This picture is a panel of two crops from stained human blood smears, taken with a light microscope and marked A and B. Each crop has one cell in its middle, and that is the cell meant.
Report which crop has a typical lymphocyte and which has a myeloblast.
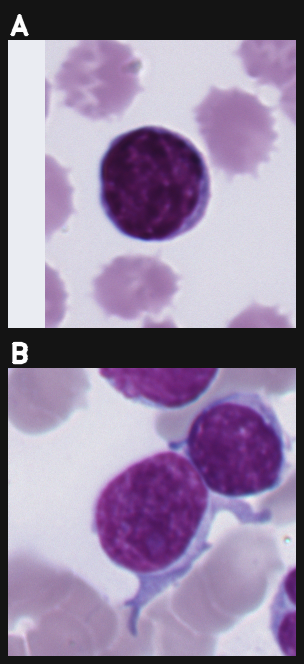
A: typical lymphocyte
B: myeloblast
